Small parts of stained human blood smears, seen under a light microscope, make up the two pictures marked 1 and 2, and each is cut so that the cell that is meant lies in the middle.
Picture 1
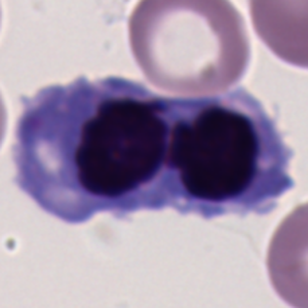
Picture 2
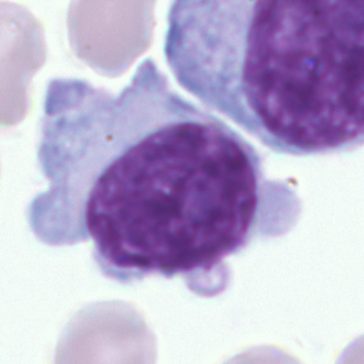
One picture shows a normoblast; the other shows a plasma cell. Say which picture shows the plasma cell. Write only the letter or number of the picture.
2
